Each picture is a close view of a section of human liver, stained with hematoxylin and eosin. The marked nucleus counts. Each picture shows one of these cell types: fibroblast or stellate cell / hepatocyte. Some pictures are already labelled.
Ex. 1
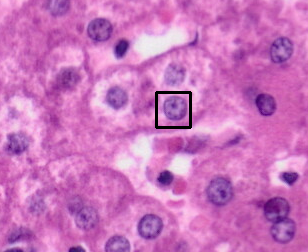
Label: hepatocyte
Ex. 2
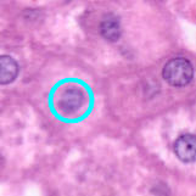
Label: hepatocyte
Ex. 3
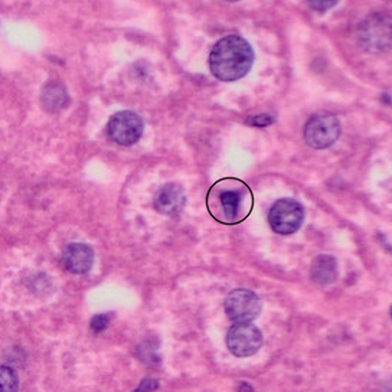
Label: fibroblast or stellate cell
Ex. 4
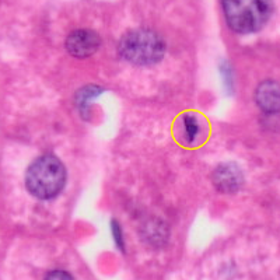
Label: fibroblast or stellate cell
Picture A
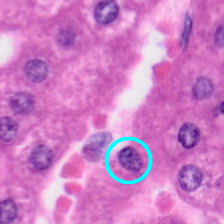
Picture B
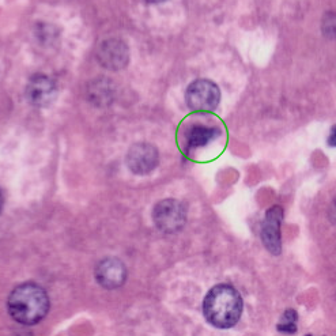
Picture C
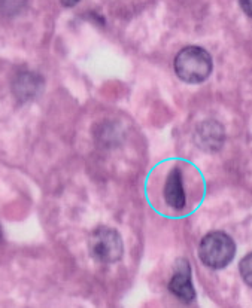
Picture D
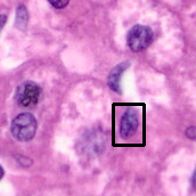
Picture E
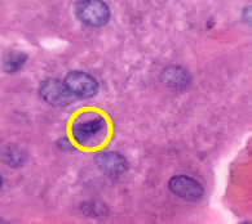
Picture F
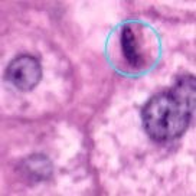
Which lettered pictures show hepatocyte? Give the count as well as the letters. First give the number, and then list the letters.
0, none of them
